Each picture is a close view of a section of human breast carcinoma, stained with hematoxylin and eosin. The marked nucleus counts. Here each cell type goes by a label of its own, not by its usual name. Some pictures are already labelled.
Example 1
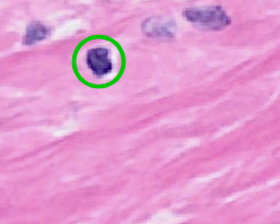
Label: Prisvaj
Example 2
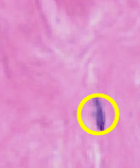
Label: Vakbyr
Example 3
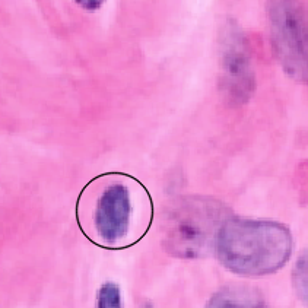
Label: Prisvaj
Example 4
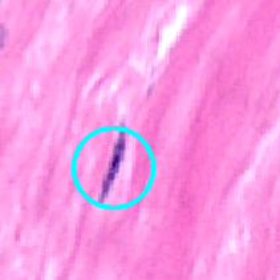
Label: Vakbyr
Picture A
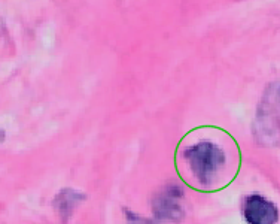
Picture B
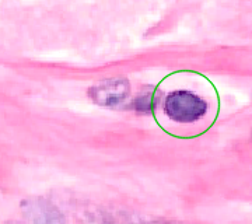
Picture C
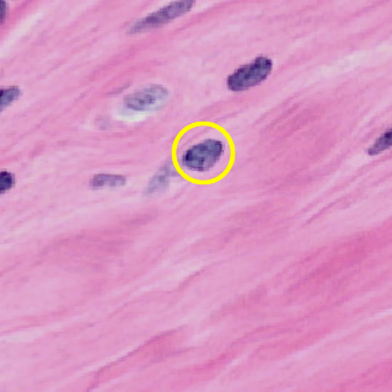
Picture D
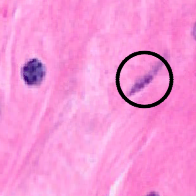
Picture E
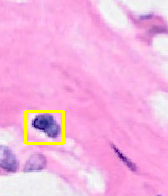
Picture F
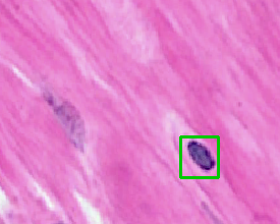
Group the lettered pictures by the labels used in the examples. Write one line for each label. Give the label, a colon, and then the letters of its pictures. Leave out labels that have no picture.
Prisvaj: A, B, C, E, F
Vakbyr: D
